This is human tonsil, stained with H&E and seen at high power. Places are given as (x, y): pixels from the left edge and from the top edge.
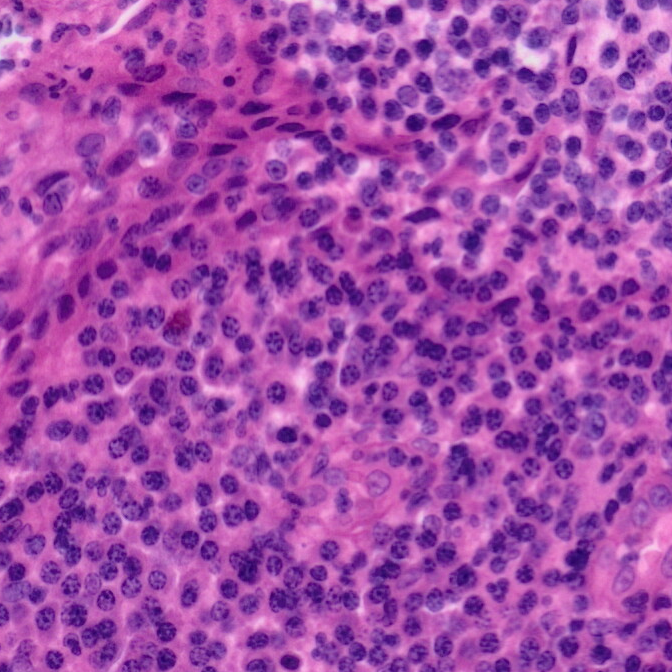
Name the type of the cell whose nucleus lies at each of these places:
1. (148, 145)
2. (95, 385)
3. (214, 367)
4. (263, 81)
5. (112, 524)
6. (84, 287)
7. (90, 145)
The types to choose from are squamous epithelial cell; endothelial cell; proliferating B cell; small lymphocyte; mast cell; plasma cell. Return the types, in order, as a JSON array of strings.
["squamous epithelial cell", "plasma cell", "plasma cell", "squamous epithelial cell", "plasma cell", "squamous epithelial cell", "squamous epithelial cell"]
